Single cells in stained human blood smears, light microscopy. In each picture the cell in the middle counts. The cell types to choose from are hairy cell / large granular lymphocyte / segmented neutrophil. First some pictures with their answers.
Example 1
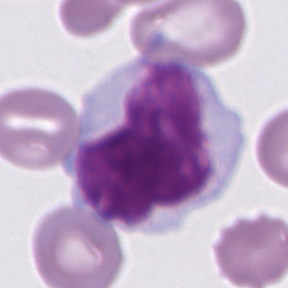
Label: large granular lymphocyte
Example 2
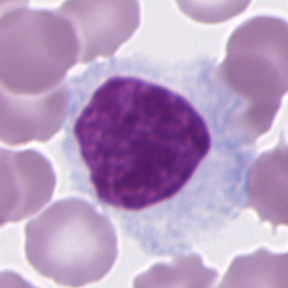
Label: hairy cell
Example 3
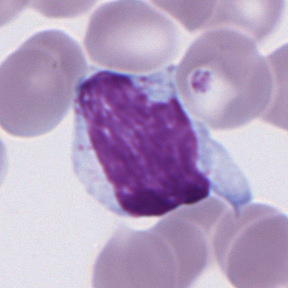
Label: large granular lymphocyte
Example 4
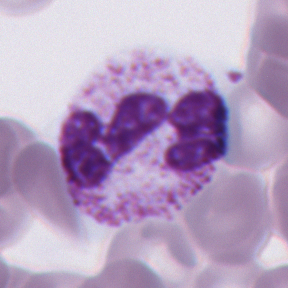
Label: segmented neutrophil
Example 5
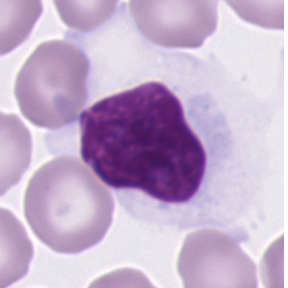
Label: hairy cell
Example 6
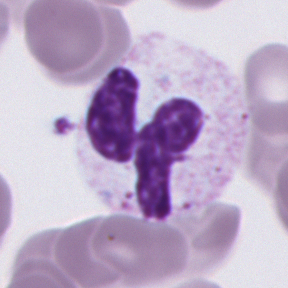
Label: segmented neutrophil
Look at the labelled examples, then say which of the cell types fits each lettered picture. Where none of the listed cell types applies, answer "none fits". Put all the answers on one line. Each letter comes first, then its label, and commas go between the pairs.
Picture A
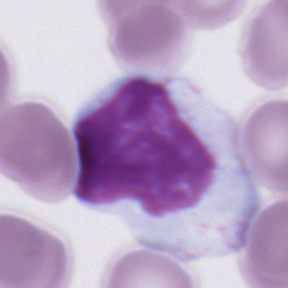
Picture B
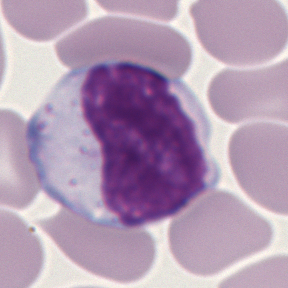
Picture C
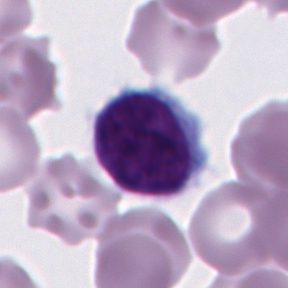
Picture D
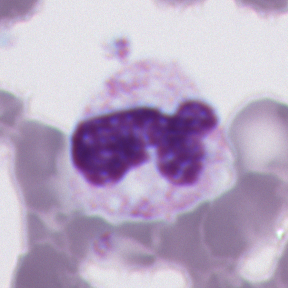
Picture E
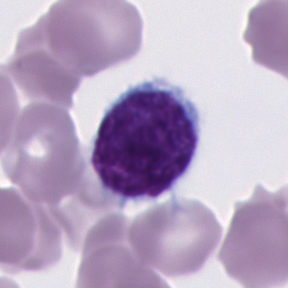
A large granular lymphocyte, B large granular lymphocyte, C hairy cell, D segmented neutrophil, E hairy cell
